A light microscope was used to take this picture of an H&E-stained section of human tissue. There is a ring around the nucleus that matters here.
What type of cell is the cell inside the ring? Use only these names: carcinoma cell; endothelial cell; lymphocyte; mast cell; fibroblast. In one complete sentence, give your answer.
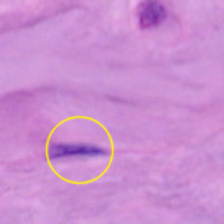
Recorded by type, the cell inside the ring is a fibroblast.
